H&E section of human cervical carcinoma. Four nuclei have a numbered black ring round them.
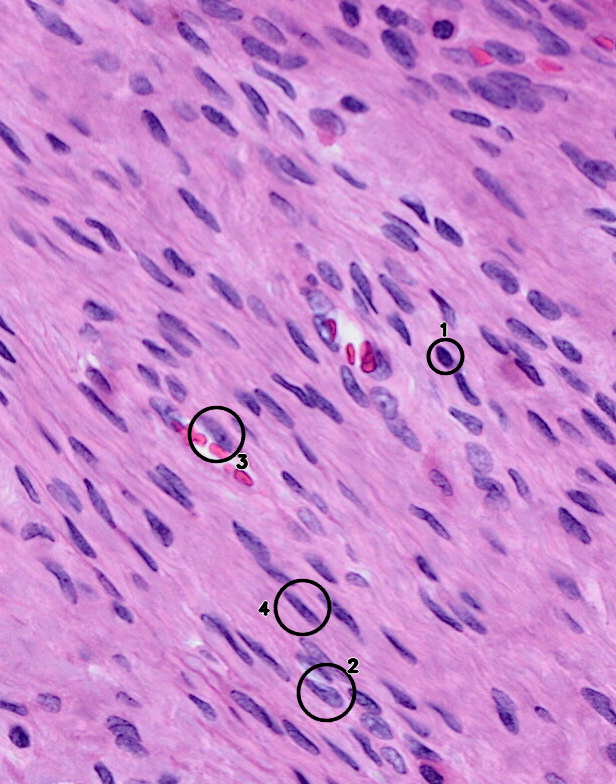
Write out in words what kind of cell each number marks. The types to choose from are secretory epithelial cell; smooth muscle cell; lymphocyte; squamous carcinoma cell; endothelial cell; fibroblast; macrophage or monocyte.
Cell 1 is a lymphocyte. Cells 2 and 3 are endothelial cells. Cell 4 is a fibroblast.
